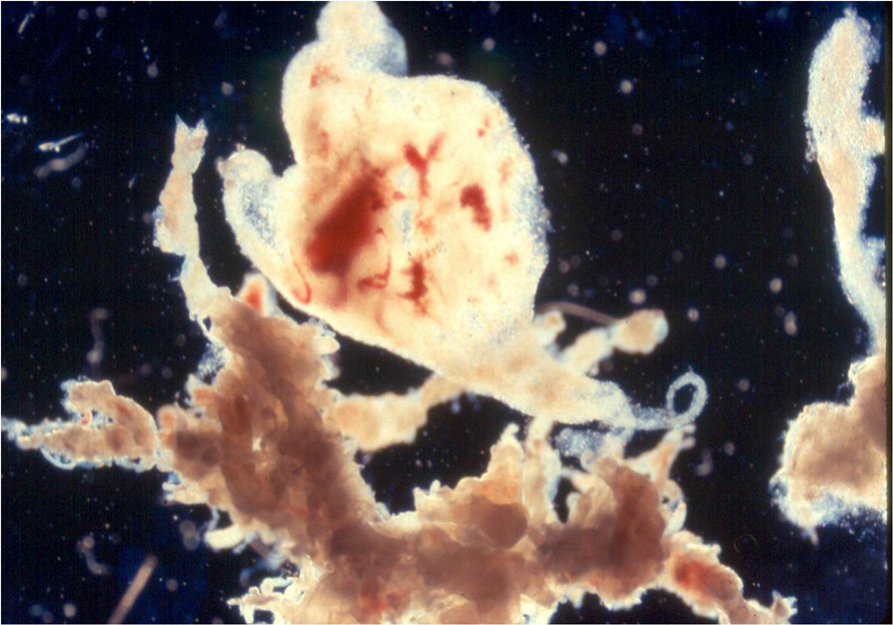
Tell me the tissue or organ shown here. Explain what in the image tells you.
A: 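Pale tan, branching, frond-like tissue fragments lie on a dark background. The fragments have irregular, lobulated outlines with fine finger-like projections. Small reddish areas of blood are visible within some fragments.
Answer: Placental villi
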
